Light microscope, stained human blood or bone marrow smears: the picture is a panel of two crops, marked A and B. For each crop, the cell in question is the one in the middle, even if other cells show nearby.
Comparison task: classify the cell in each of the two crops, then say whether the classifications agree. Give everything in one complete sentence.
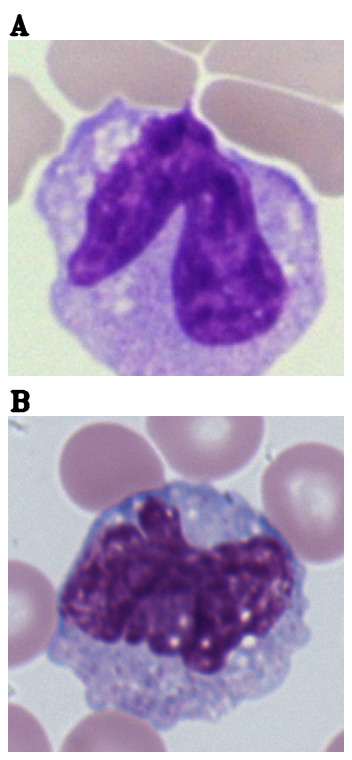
Yes, the middle cells in both crops are indeed monocytes.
